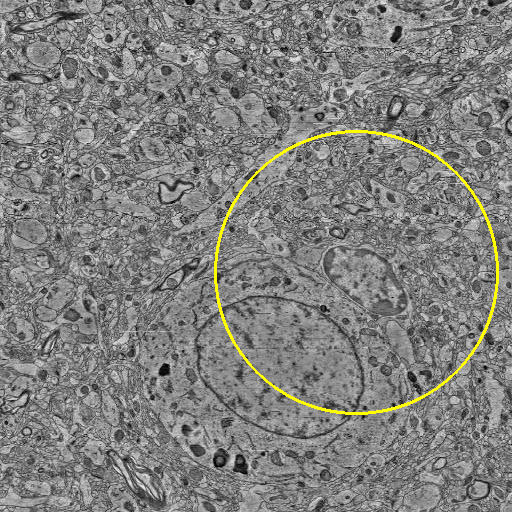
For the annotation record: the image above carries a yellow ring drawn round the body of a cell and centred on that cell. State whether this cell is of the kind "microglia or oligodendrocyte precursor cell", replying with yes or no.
Yes, this cell is of that kind.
